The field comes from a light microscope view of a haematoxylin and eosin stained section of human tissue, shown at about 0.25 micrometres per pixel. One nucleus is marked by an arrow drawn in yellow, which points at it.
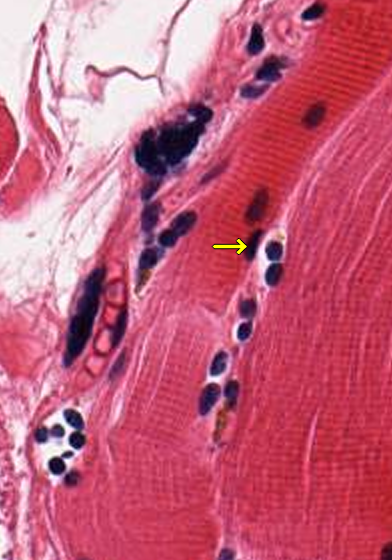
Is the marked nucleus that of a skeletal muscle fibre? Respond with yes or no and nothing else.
yes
